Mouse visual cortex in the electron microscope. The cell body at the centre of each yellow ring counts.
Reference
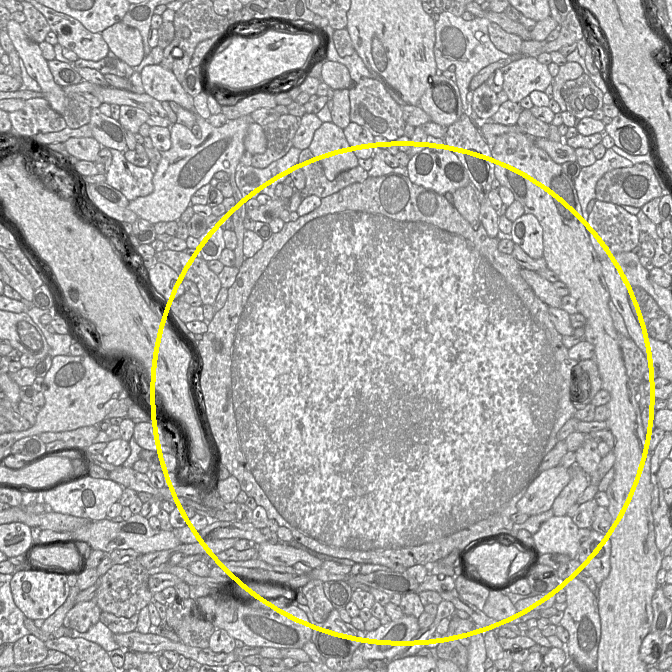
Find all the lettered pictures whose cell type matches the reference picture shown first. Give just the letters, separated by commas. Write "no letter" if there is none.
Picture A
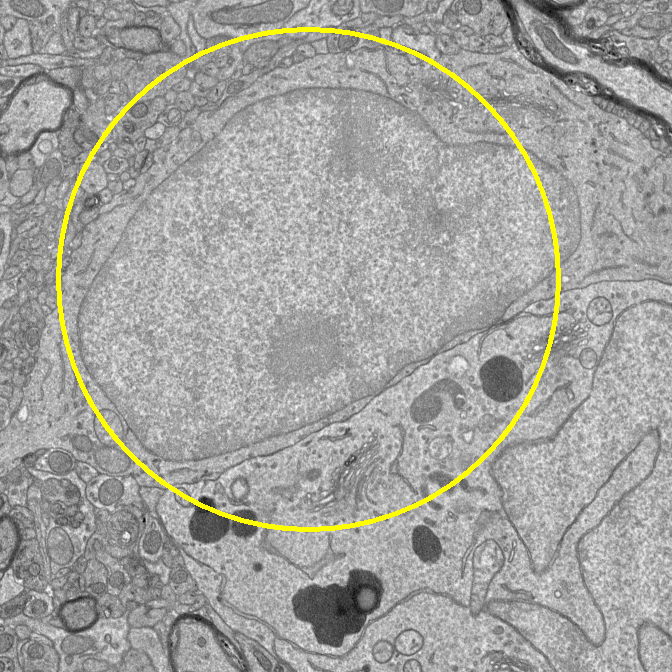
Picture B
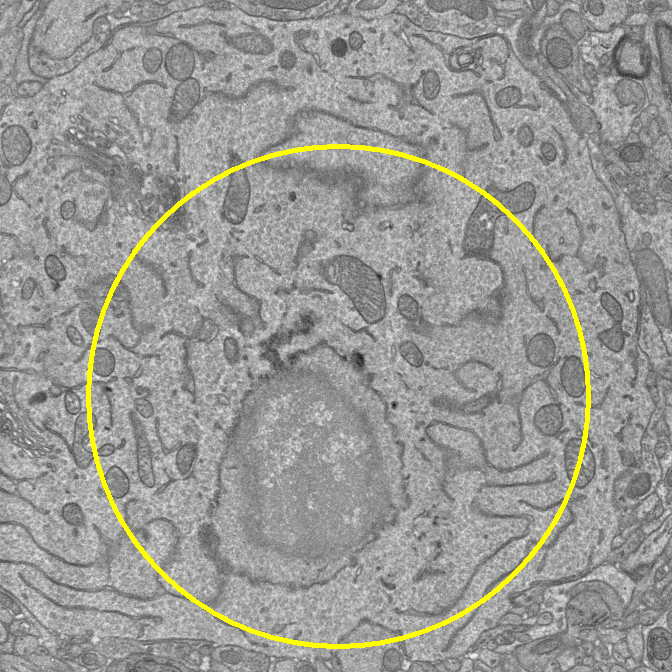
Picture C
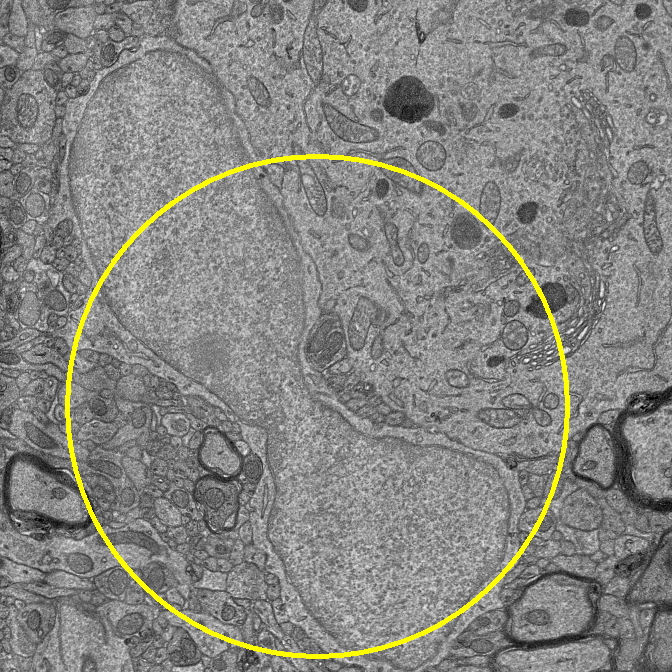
A, B, C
